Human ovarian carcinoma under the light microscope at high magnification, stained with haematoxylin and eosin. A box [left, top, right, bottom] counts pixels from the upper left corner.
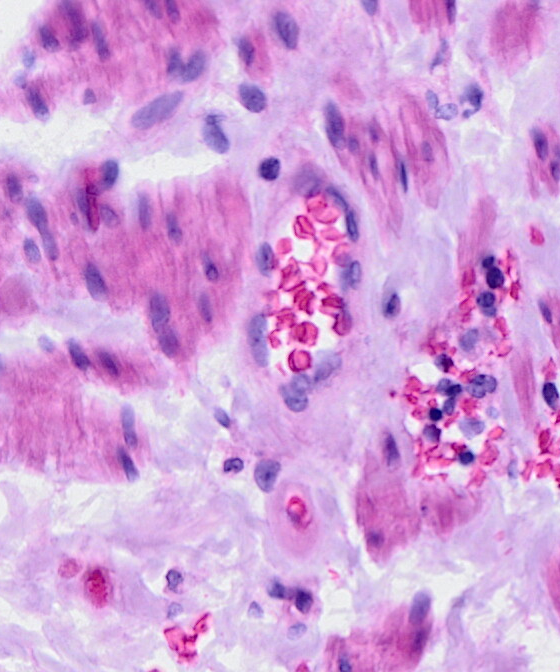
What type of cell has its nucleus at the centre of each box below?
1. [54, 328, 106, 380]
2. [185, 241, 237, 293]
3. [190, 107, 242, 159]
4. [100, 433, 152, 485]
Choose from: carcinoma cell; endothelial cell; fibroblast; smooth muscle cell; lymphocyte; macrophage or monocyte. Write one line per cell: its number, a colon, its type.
1: smooth muscle cell
2: smooth muscle cell
3: fibroblast
4: smooth muscle cell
